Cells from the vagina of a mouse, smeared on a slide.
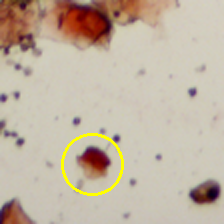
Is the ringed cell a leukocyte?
No, it is a cornified epithelial cell.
